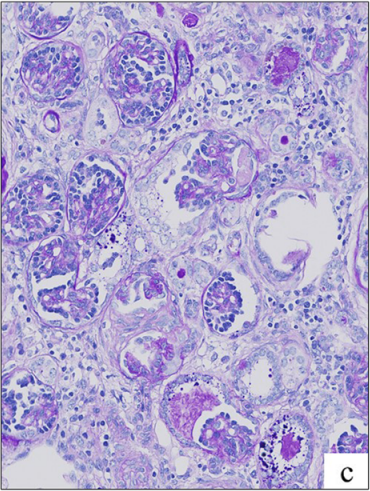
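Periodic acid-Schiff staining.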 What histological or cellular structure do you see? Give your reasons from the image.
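Many small, closely packed glomerular tufts. Tufts are crowded with dark nuclei. Tufts sit in round spaces lined by a thin capsule.
Hence: immature glomerulus.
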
